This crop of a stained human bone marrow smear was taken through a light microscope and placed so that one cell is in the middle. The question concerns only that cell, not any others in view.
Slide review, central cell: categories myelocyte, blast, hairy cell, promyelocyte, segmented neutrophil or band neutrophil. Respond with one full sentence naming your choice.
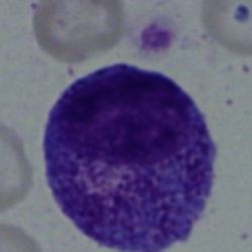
The cell in the exact centre of the crop is a promyelocyte.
